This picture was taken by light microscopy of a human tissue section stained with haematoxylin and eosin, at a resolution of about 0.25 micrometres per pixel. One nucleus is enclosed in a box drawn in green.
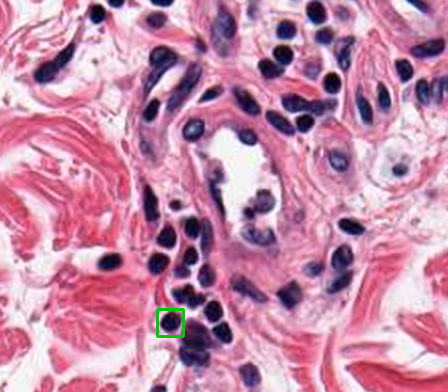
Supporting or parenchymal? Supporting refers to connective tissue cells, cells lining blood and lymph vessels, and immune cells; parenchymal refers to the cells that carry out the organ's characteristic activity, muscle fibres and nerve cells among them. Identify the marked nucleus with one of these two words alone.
supporting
